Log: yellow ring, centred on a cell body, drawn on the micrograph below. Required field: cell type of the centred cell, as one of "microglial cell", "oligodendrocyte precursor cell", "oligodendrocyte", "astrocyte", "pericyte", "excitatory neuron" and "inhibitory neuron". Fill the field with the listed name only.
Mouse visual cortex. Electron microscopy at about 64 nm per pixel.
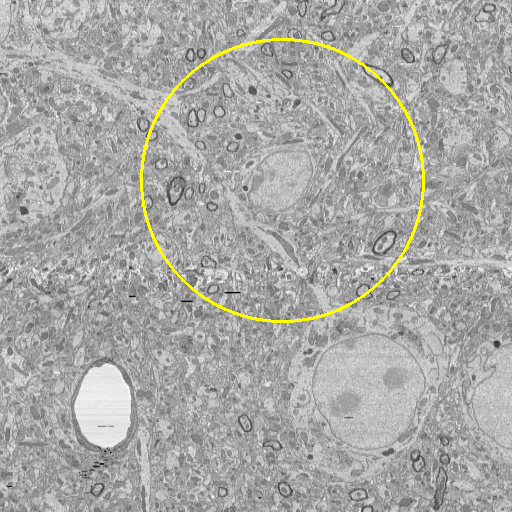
oligodendrocyte precursor cell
